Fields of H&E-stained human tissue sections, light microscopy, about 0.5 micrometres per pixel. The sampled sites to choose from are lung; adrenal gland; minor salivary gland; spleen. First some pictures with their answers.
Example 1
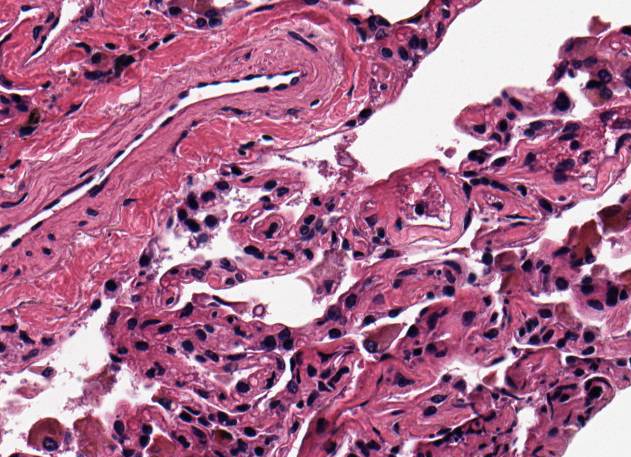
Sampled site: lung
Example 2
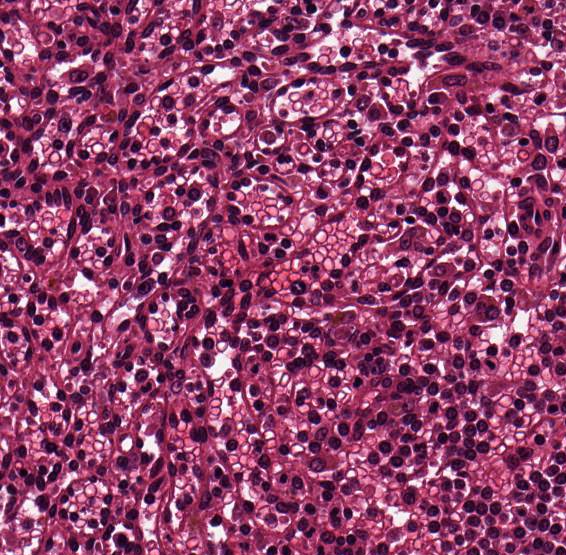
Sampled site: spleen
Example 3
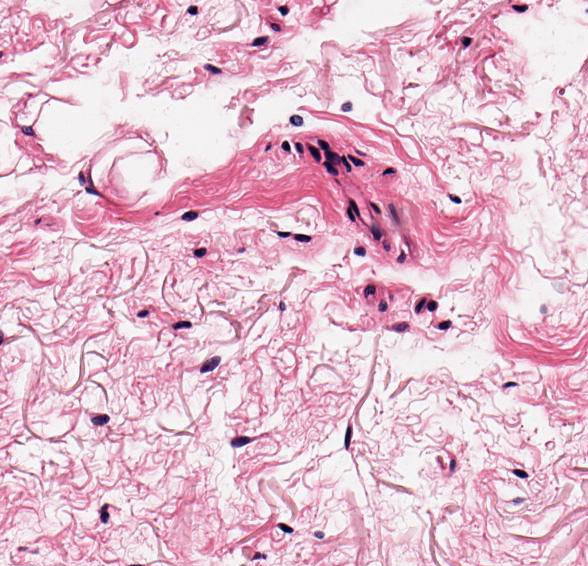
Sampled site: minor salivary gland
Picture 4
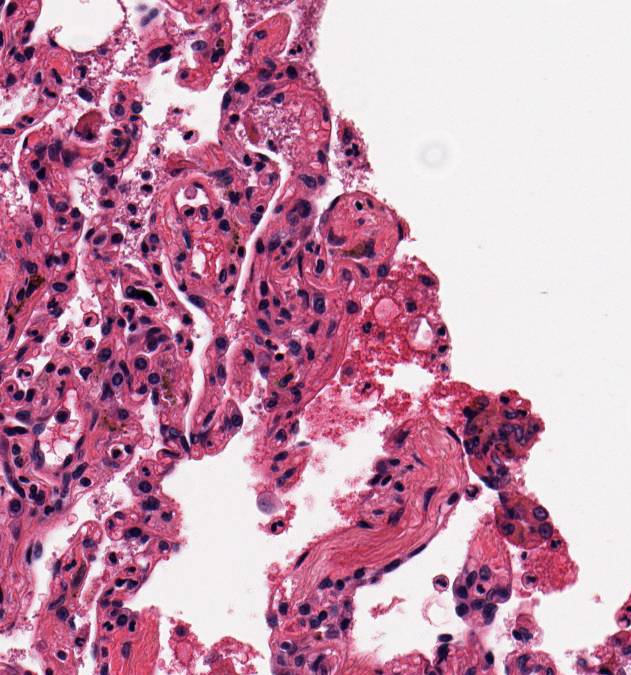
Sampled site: lung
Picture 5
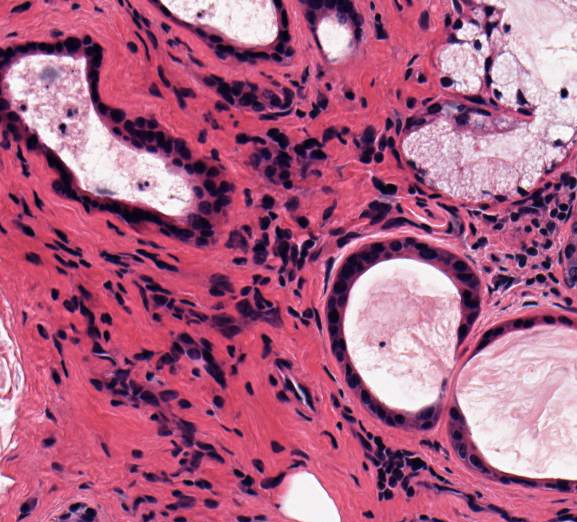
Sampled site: minor salivary gland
